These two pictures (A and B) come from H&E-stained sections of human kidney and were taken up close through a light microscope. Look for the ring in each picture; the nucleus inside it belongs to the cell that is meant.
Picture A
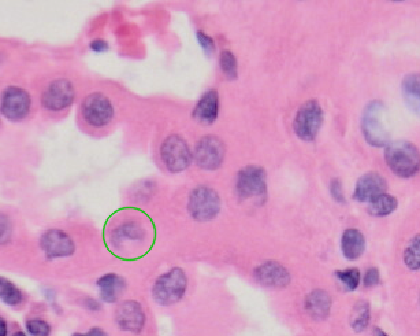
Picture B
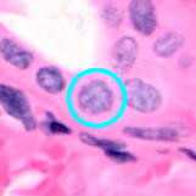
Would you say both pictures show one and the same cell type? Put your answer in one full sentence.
No, picture A shows a “loop of Henle or distal tubule cell” and picture B shows a collecting duct cell.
